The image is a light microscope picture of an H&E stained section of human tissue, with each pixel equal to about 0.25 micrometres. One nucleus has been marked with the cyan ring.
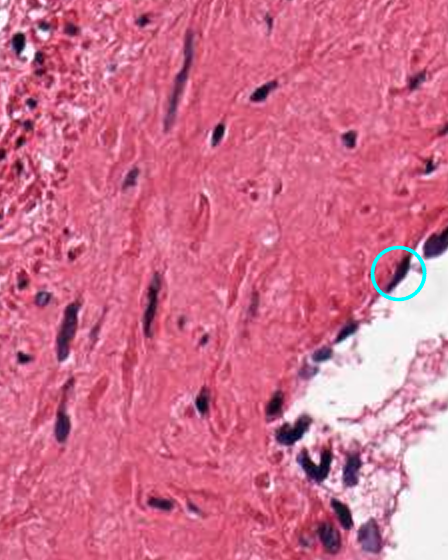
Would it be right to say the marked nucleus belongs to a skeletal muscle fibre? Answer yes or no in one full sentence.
No, the marked nucleus has its place in a supporting cell rather than in a skeletal muscle fibre.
